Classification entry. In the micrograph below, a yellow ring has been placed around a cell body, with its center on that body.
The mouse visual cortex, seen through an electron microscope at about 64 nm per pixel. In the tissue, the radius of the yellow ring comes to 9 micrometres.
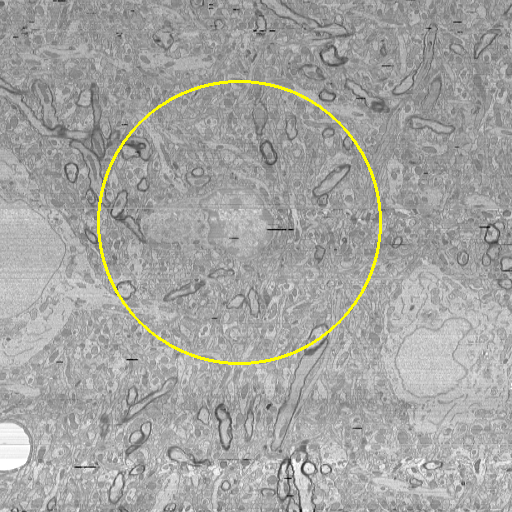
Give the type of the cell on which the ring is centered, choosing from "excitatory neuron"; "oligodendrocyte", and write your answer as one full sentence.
The cell body at the center of the yellow ring belongs to an oligodendrocyte.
